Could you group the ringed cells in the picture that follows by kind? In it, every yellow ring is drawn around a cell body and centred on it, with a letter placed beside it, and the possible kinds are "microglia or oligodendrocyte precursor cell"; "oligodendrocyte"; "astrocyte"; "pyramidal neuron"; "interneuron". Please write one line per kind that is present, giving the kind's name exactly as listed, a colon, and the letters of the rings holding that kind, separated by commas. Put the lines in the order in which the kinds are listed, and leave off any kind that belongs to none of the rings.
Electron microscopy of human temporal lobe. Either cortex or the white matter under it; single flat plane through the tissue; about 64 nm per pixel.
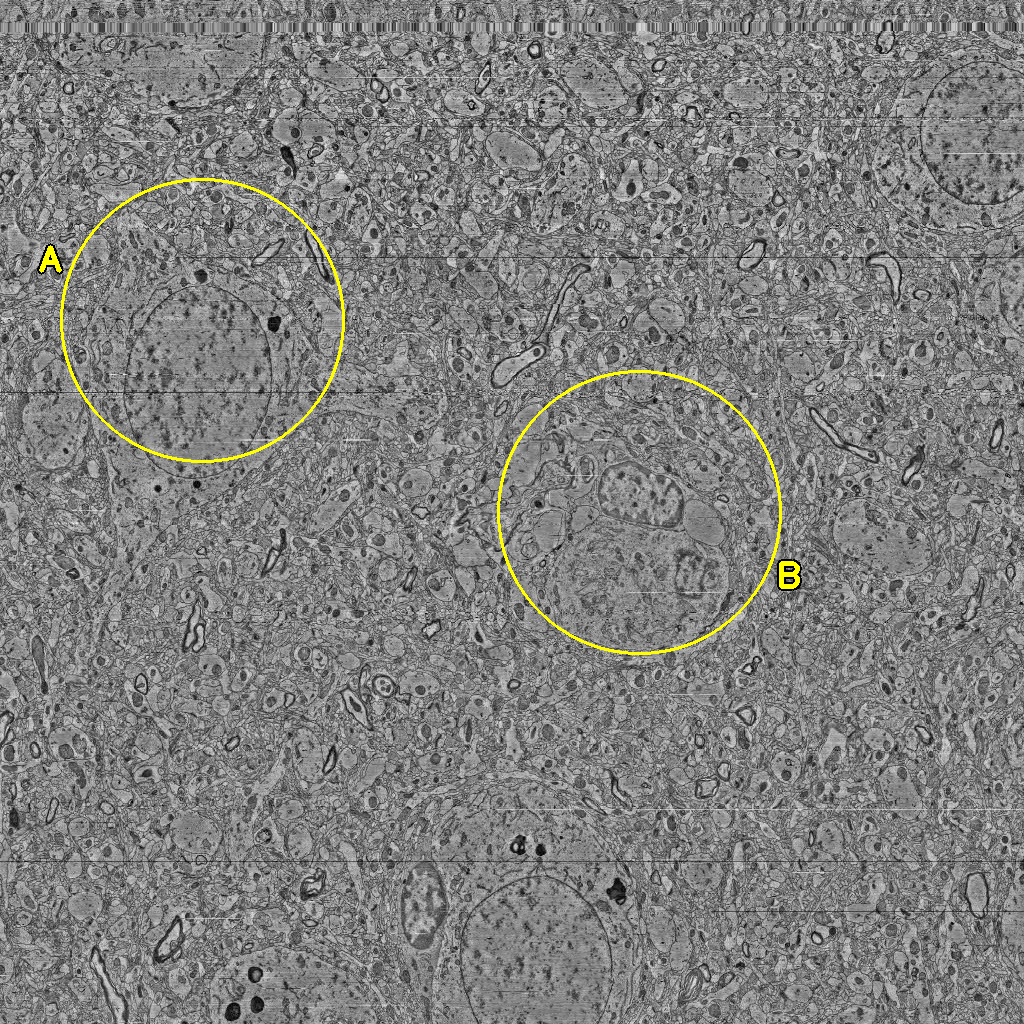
microglia or oligodendrocyte precursor cell: B
pyramidal neuron: A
